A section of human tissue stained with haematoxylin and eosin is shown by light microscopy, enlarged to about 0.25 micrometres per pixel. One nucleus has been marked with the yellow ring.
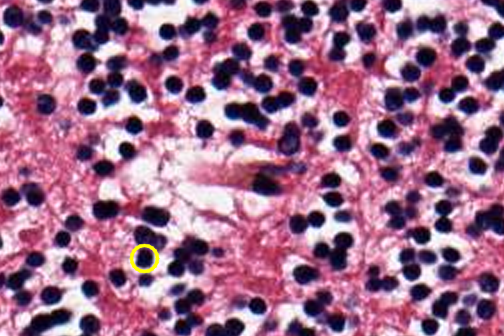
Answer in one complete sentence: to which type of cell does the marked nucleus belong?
The marked nucleus lies within a cerebellar granule cell.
